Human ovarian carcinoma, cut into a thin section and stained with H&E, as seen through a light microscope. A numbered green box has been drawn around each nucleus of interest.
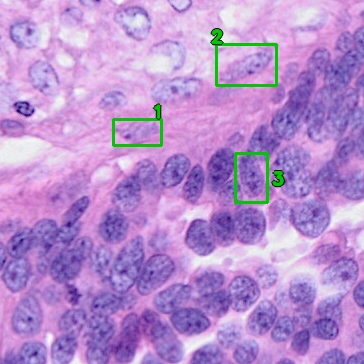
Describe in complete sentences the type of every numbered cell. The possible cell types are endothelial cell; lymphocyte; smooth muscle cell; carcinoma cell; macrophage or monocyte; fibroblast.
Cells 1 and 2 are fibroblasts. Cell 3 is a carcinoma cell.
